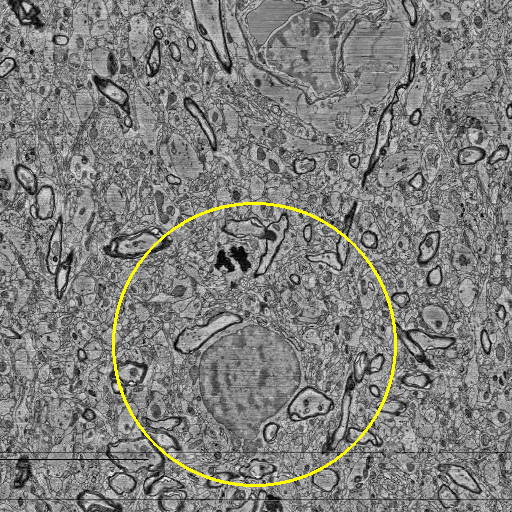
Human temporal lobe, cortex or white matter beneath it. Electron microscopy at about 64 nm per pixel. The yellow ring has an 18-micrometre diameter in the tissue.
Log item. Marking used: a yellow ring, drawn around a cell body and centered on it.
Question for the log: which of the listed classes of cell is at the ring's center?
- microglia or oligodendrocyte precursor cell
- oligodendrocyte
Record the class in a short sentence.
At the center of the ring lies an oligodendrocyte.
